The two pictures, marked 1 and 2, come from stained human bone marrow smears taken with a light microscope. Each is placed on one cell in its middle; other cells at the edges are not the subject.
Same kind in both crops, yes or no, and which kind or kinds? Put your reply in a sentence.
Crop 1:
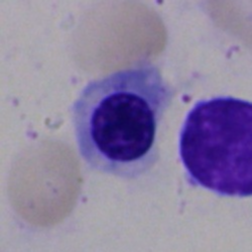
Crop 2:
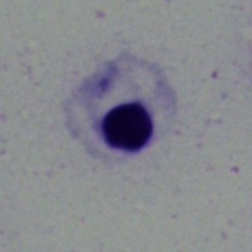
Yes, in both crops, erythroblasts are the cells at the middle.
